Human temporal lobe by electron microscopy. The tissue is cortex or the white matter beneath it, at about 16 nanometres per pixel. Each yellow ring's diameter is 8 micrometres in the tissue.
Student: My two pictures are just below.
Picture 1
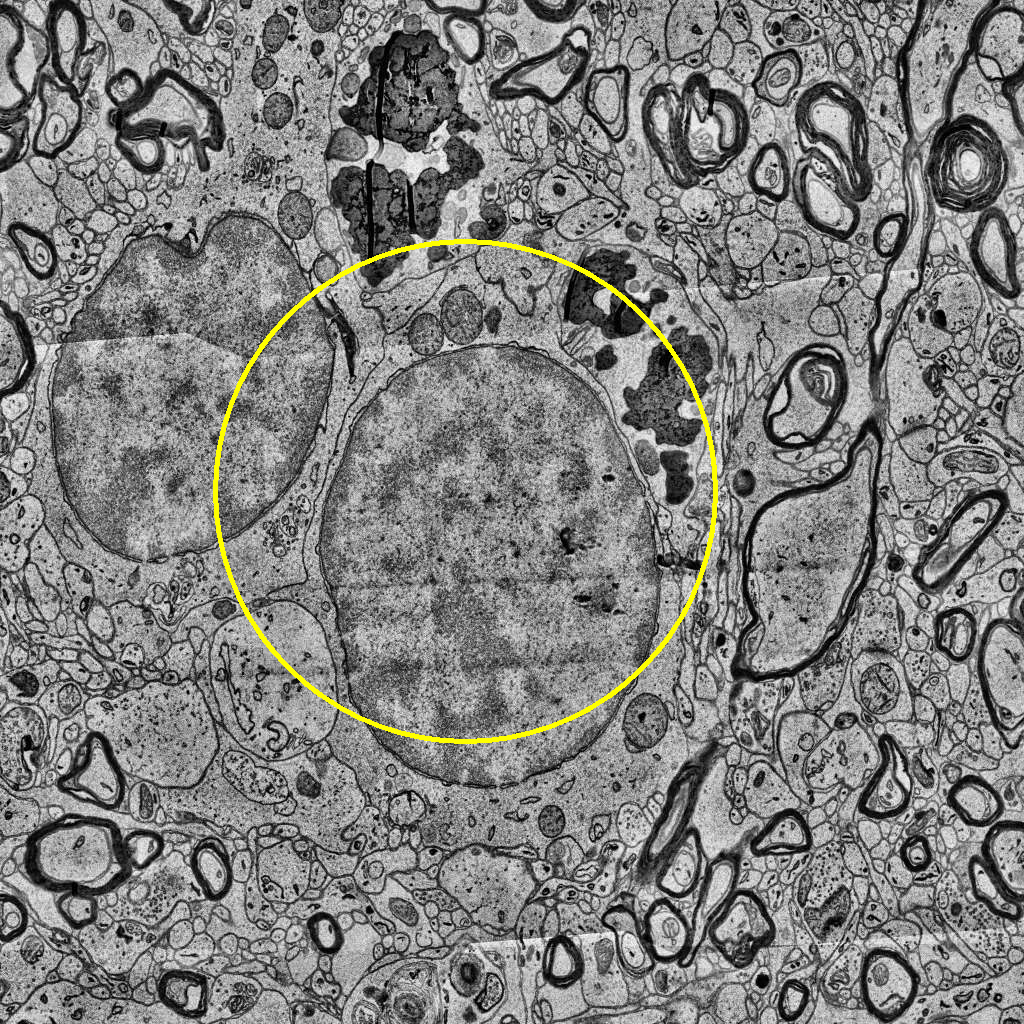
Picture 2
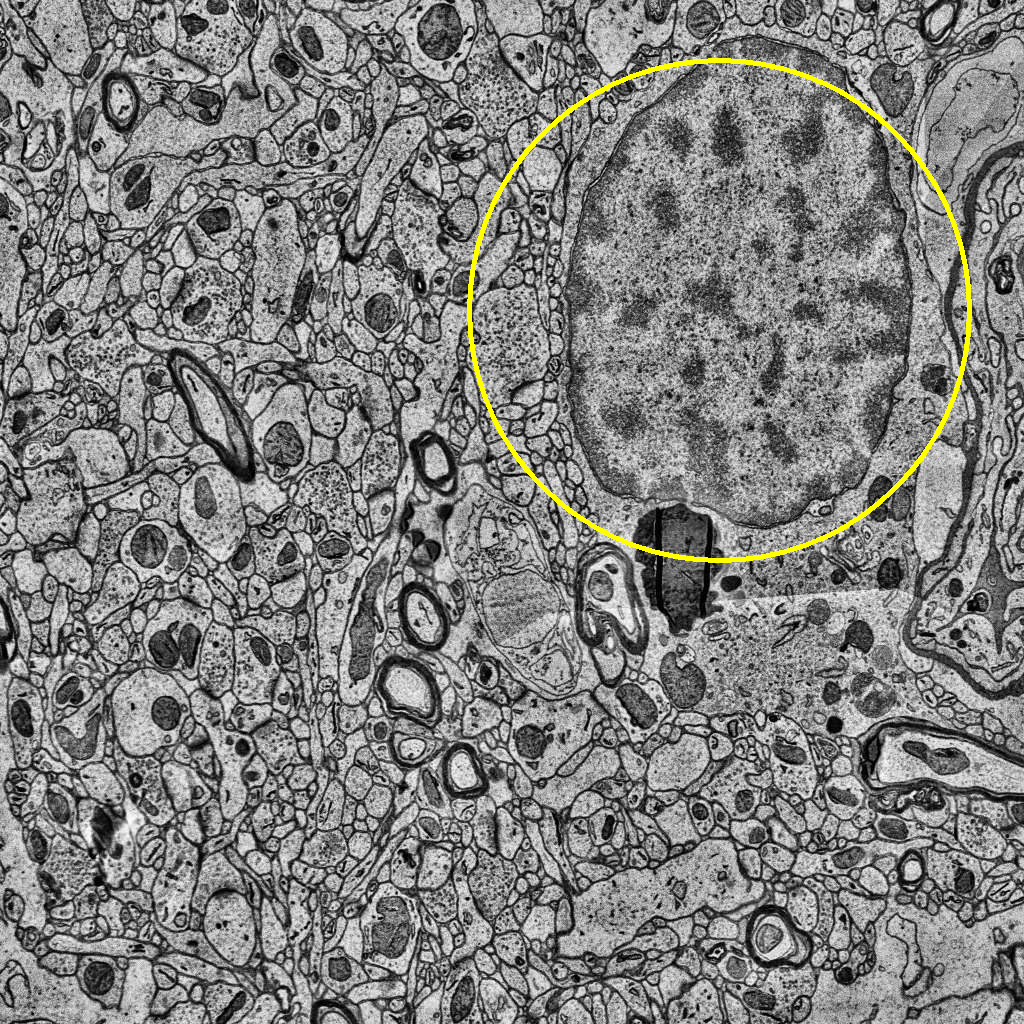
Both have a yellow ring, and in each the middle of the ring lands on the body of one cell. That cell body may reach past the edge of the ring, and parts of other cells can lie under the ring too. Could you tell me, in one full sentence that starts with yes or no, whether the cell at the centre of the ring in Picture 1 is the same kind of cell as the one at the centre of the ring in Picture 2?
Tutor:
Yes, the two cells are of the same kind.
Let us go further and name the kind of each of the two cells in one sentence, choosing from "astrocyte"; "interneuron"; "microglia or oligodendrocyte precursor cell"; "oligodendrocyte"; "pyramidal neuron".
Each of the two pictures has an oligodendrocyte at the ring centre.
